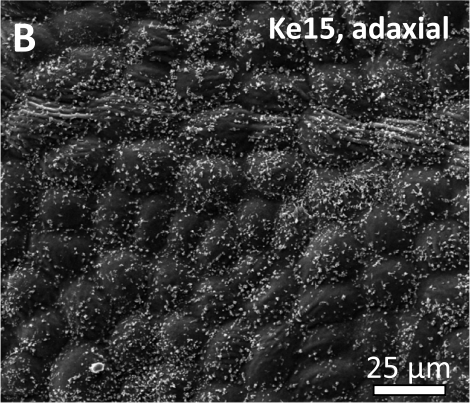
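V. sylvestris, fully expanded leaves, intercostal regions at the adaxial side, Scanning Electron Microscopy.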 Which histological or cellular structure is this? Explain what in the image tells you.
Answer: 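Many tiny bright particles are scattered over the cell surfaces. Long ridges are largely absent. On this evidence: small wax crystals.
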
